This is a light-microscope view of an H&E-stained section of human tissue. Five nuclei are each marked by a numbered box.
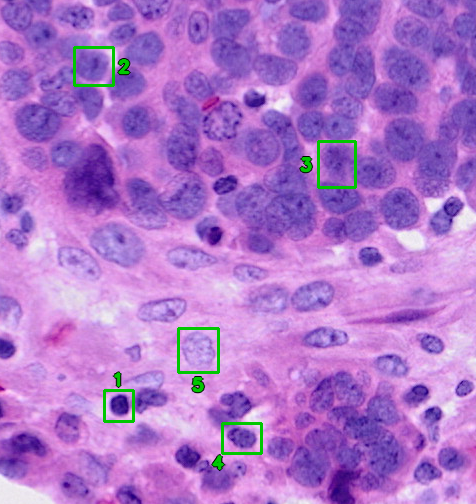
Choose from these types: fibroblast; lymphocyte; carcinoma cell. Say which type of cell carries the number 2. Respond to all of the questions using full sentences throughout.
Of the numbered cells, the one labelled 2 is a carcinoma cell.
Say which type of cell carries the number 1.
In the marked set, the cell given number 1 is a lymphocyte.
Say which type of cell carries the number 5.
The marked cell with the number 5 is recognised as a fibroblast.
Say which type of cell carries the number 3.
The marked cell with the number 3 is recognised as a carcinoma cell.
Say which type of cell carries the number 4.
Cell 4 is classified as a lymphocyte.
